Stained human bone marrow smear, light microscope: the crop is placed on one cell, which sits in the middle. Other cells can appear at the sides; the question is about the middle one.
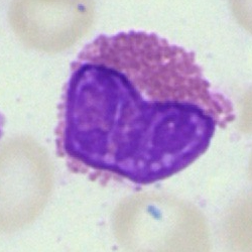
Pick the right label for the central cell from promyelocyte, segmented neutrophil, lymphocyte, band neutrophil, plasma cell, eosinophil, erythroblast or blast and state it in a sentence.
In the central position of this crop, the cell is an eosinophil.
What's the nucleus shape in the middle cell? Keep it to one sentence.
Please observe that the nucleus consists of one compact round, oval or kidney-shaped mass.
